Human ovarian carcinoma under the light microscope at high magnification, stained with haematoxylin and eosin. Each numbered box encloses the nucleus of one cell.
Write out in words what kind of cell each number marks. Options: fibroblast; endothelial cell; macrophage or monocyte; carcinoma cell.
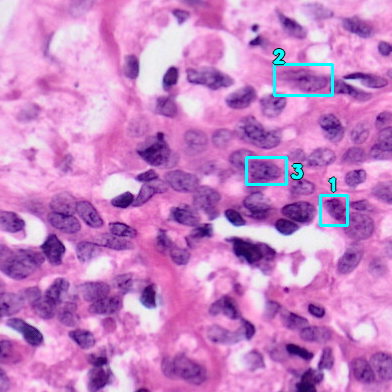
Cell 1 is a carcinoma cell, cell 2 is an endothelial cell and cell 3 is a carcinoma cell.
